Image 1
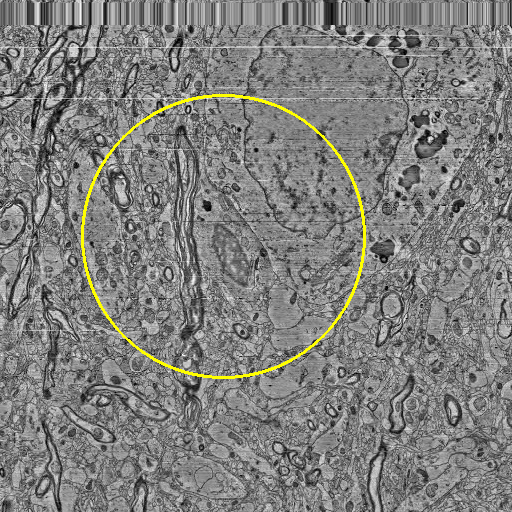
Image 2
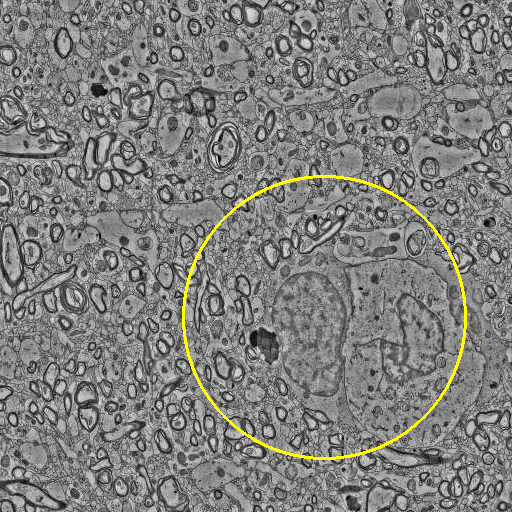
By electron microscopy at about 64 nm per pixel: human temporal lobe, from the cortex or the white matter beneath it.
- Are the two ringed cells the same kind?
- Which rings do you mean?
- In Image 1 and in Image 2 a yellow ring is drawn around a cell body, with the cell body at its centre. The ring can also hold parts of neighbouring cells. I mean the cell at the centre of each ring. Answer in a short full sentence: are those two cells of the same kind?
Yes, both cells are of the same kind.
